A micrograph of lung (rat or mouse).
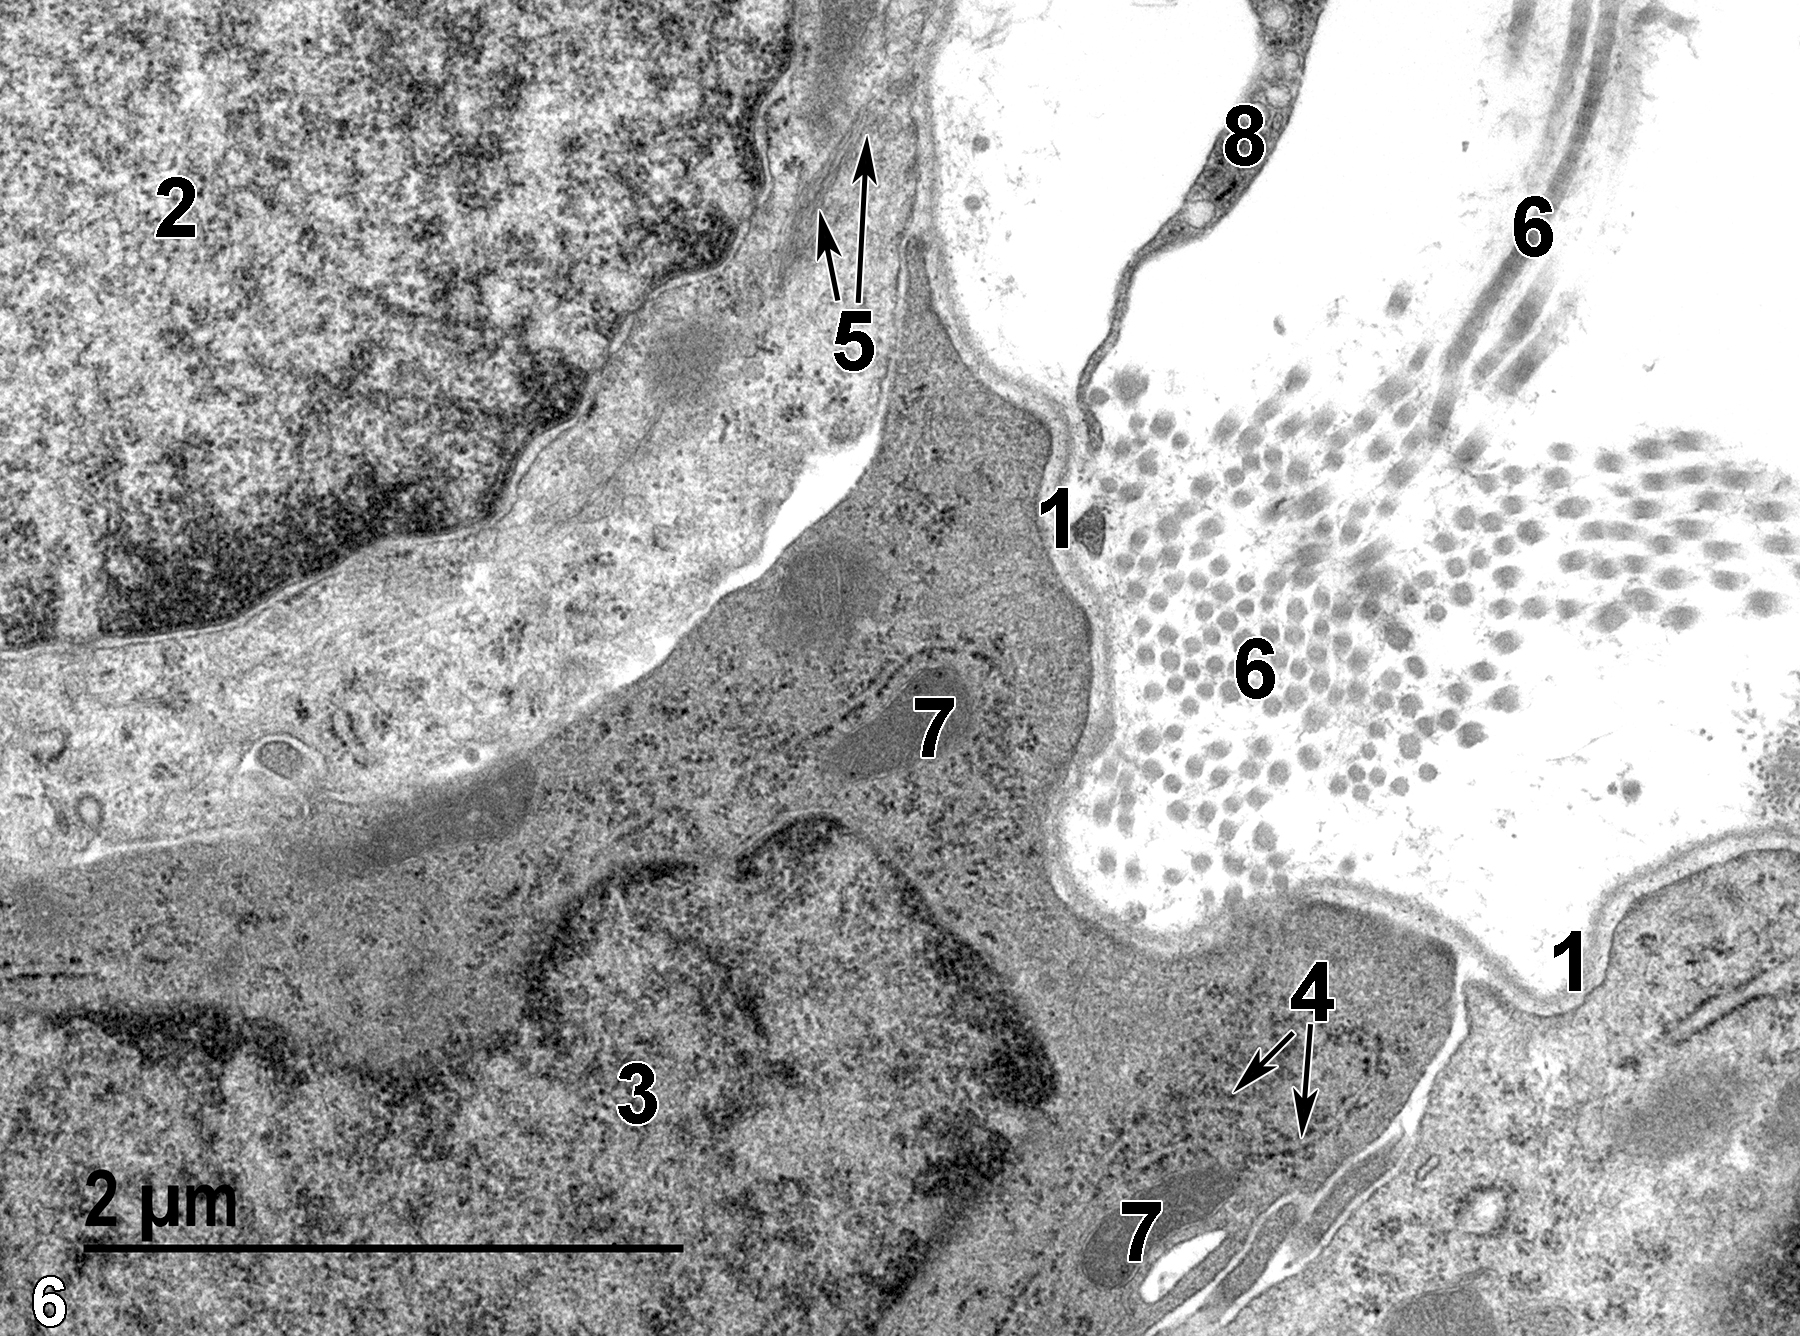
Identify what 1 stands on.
At 1: basal lamina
